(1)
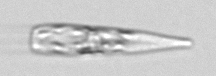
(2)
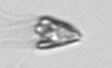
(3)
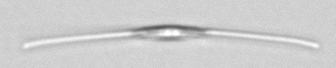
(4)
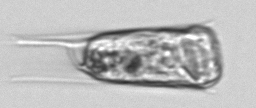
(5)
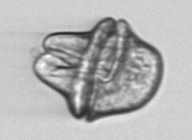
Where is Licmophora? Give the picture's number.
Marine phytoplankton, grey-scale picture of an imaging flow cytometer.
1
